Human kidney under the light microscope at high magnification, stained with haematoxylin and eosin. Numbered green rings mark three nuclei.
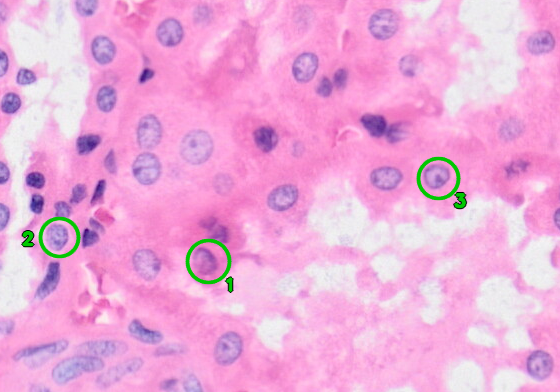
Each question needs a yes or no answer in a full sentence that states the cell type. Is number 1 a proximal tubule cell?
Yes, the nucleus numbered 1 belongs to a proximal tubule cell.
